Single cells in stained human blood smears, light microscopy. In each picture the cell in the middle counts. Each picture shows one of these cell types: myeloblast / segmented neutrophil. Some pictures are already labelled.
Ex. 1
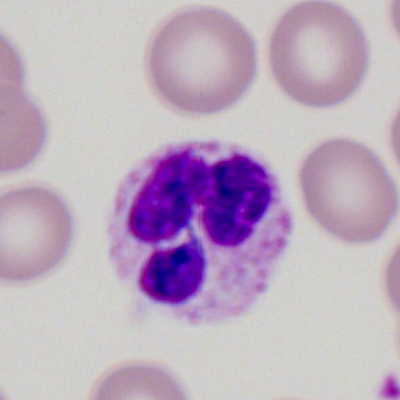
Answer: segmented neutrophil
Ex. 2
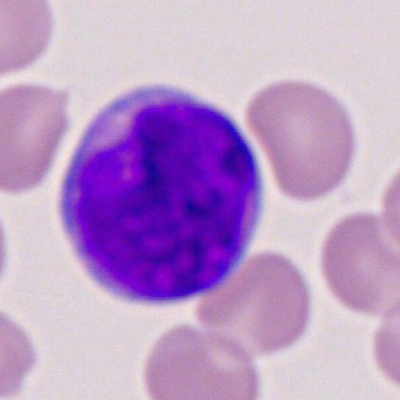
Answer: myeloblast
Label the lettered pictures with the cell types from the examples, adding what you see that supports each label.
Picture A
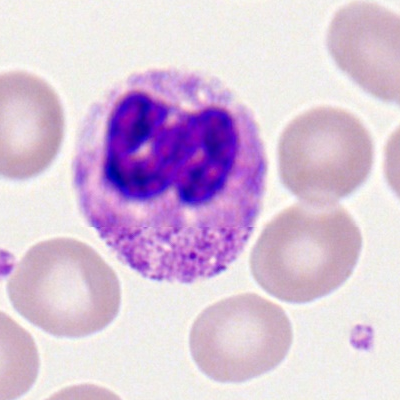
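Label: segmented neutrophil. The nucleus is made of two lobes lying side by side.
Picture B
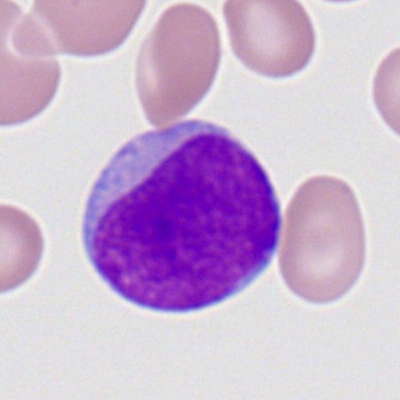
Label: myeloblast. The nucleus fills most of the cell, leaving a crescent of cytoplasm that is widest at the upper left.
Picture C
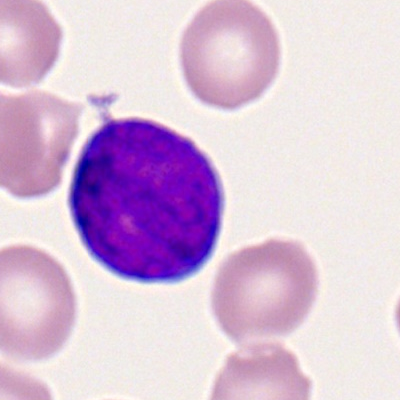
Label: myeloblast. The thin rim of cytoplasm is blue.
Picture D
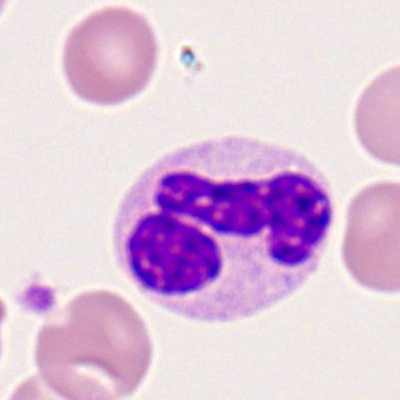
Label: segmented neutrophil. The nucleus is divided into several lobes.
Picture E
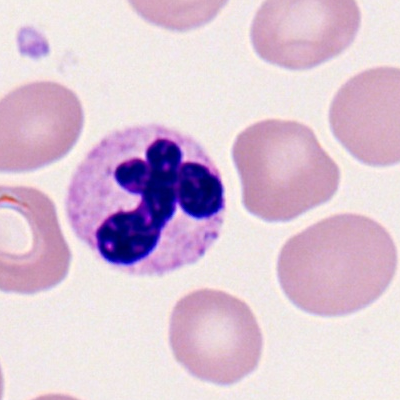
Label: segmented neutrophil. The cytoplasm is plentiful and pale pinkish-lilac.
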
